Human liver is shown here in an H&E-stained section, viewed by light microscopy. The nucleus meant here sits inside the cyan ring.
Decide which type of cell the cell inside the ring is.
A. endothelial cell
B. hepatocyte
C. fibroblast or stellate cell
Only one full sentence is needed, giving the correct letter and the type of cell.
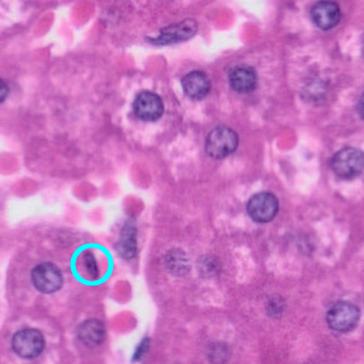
Option C is correct in stating that the cell inside the ring is a fibroblast or stellate cell.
